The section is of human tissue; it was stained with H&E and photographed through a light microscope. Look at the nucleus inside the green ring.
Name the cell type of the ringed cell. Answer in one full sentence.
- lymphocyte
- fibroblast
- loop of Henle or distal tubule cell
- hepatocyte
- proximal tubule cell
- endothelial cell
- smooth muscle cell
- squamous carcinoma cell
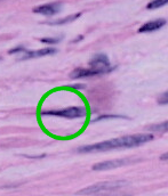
The cell type of the ringed cell is that of a smooth muscle cell.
